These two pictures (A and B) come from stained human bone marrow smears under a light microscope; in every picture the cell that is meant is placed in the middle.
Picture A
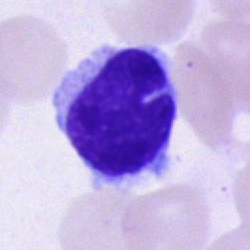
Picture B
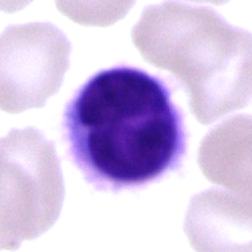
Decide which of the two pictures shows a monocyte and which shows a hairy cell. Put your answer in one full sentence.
The cell in picture A is a monocyte, and the one in picture B is a hairy cell.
